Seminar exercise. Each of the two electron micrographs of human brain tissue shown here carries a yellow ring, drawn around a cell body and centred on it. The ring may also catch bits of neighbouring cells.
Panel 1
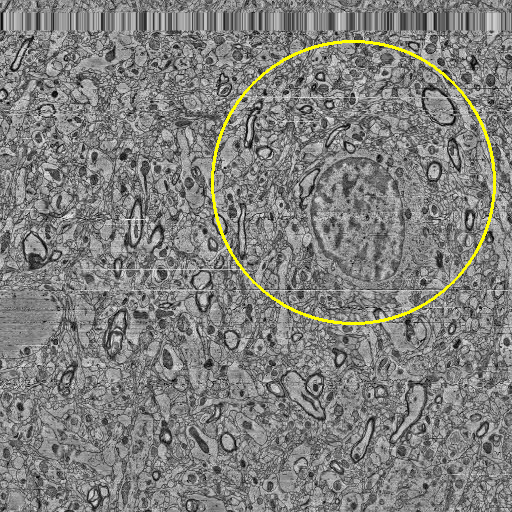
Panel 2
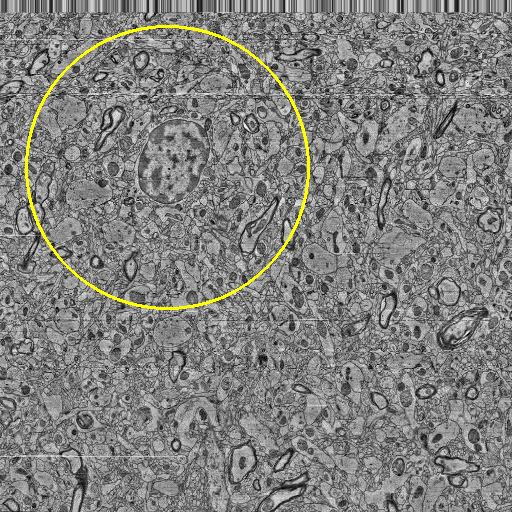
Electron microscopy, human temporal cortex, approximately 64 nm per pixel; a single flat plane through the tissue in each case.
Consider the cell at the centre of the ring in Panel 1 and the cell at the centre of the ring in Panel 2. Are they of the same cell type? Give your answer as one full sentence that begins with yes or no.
No, the two cells are of two types.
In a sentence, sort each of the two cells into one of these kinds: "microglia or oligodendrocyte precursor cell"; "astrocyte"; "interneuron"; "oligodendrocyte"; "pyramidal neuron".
The first of the two cells is an oligodendrocyte, and the second is a microglial cell or oligodendrocyte precursor cell.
